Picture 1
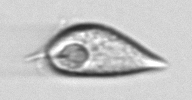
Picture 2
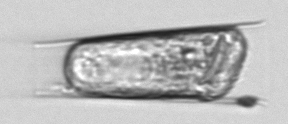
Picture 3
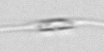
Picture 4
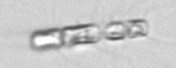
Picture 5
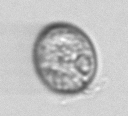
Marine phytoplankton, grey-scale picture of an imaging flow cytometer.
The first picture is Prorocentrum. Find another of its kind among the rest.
Picture 5.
